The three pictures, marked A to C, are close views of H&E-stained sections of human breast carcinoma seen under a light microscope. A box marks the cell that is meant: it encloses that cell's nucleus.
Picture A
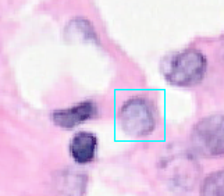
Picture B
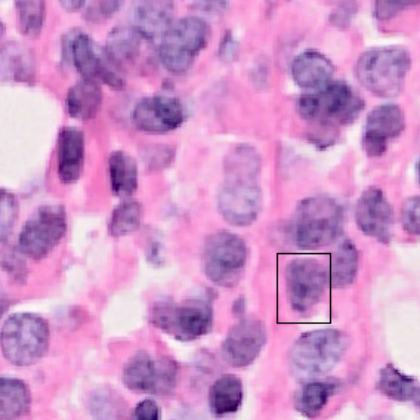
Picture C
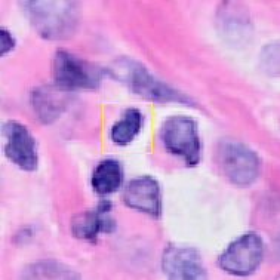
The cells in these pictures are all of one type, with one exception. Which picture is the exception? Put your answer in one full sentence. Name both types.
Unlike the rest, which show carcinoma cells, picture C shows a lymphocyte.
